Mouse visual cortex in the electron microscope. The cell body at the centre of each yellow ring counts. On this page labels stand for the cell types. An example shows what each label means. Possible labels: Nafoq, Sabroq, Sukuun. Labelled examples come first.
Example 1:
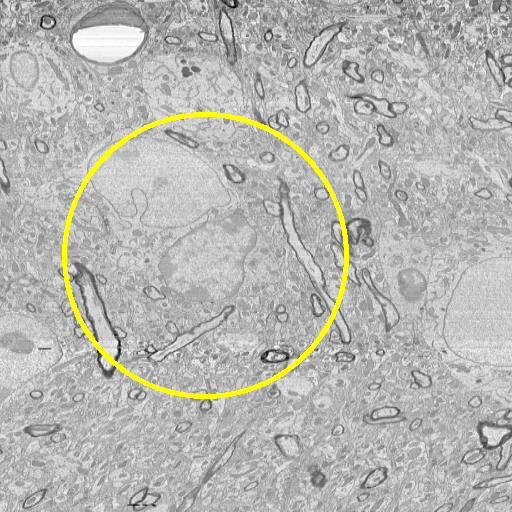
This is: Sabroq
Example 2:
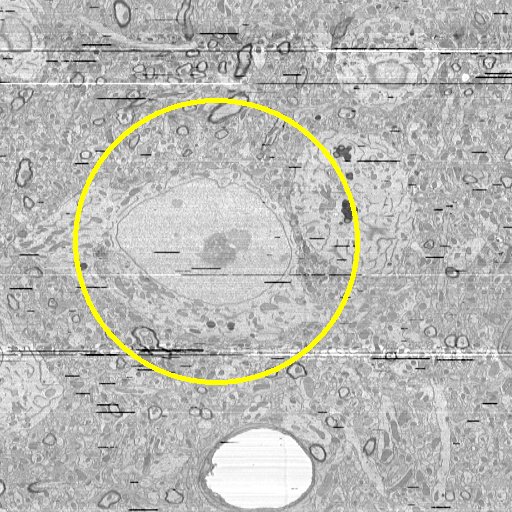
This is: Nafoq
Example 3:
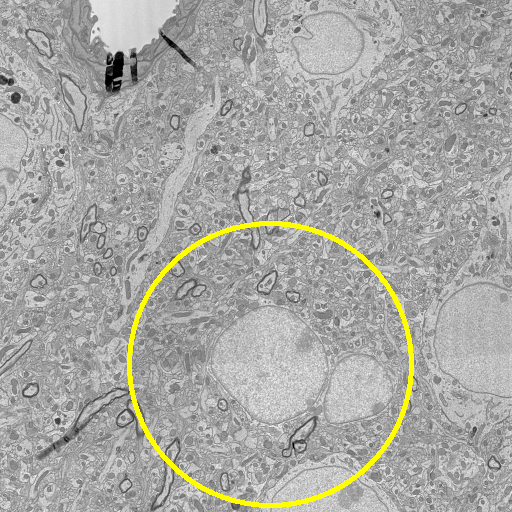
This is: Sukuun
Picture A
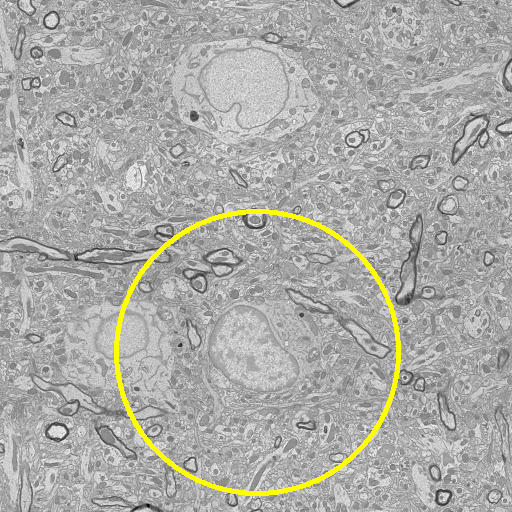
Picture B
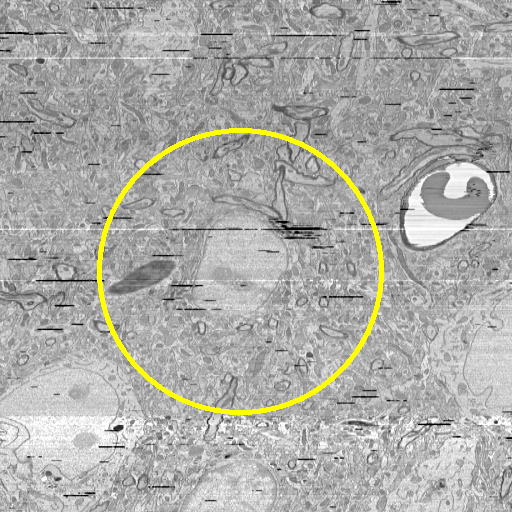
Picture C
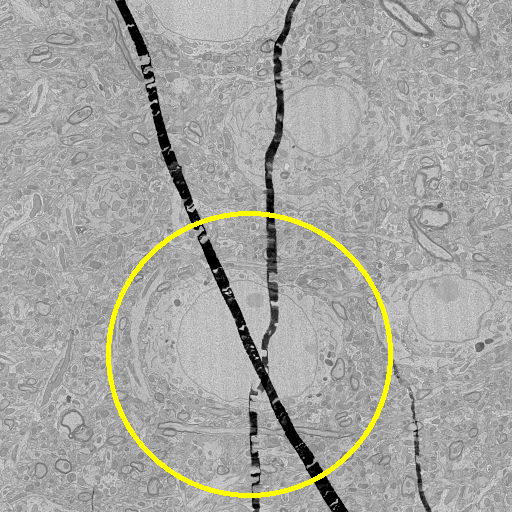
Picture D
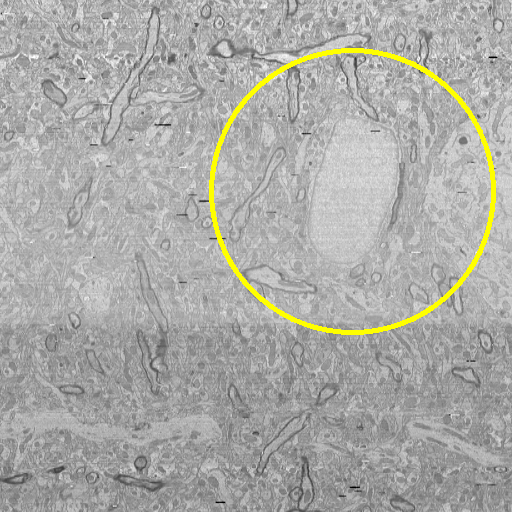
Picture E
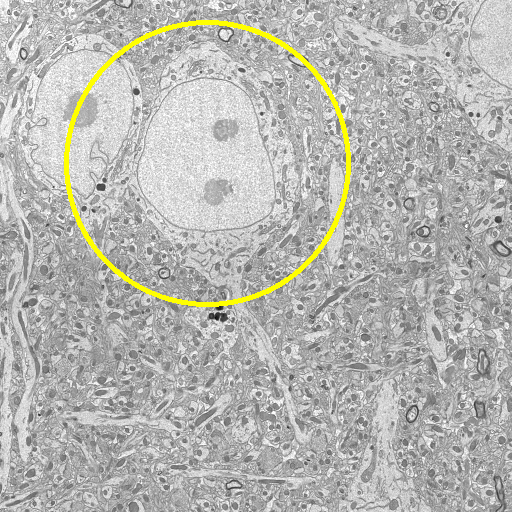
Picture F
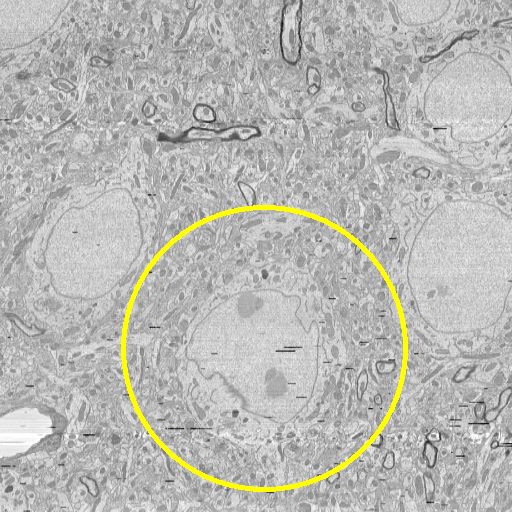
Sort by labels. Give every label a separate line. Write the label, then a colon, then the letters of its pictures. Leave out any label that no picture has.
Nafoq: C, E, F
Sabroq: A
Sukuun: B, D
